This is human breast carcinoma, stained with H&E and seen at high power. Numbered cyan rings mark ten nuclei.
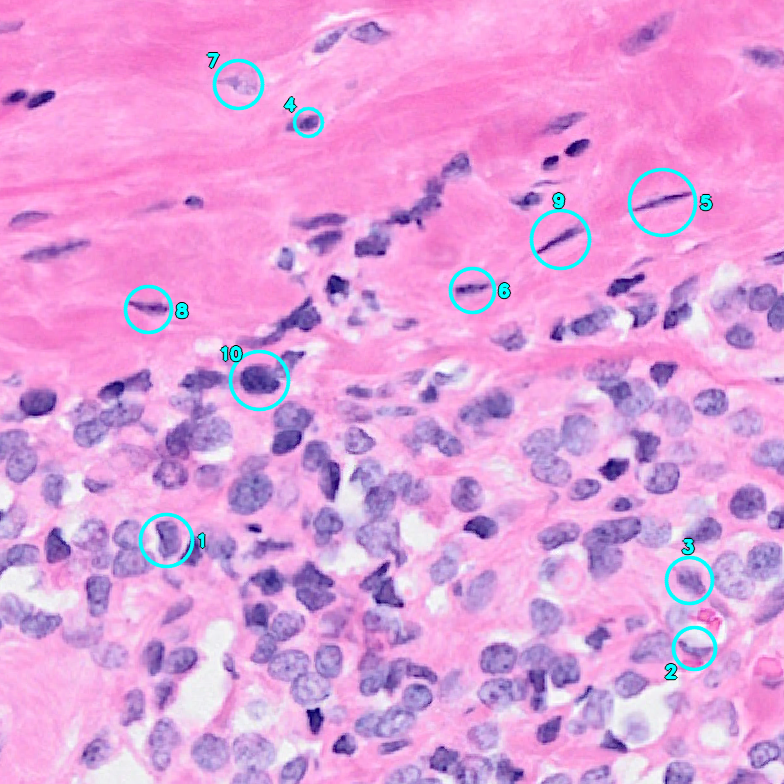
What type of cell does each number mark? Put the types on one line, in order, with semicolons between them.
carcinoma cell; endothelial cell; endothelial cell; lymphocyte; fibroblast; fibroblast; fibroblast; fibroblast; fibroblast; carcinoma cell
